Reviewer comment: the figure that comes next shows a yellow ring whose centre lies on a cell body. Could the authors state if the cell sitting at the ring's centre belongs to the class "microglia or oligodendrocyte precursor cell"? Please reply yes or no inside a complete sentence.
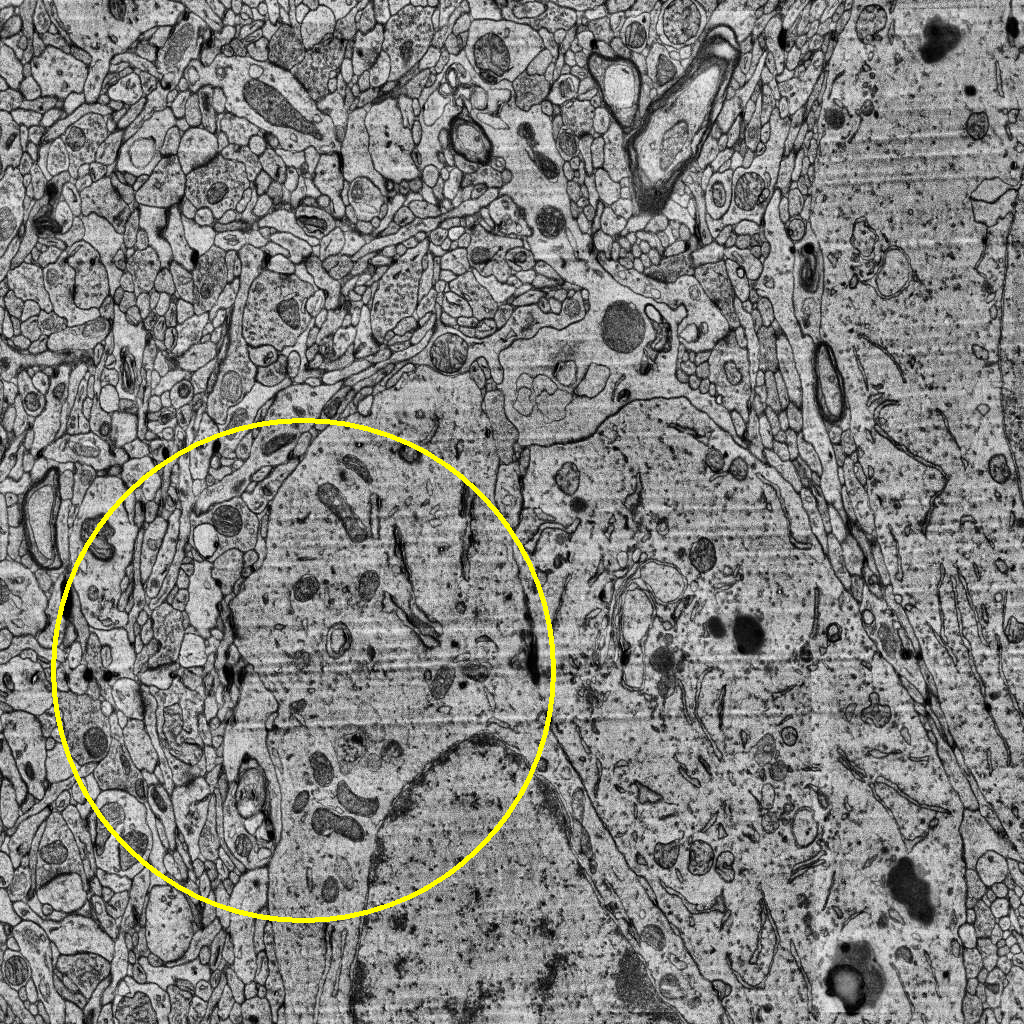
Yes, in the figure, the cell at the ring's centre belongs to that class.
